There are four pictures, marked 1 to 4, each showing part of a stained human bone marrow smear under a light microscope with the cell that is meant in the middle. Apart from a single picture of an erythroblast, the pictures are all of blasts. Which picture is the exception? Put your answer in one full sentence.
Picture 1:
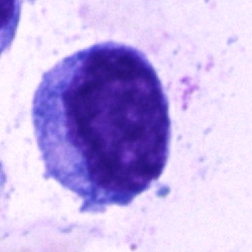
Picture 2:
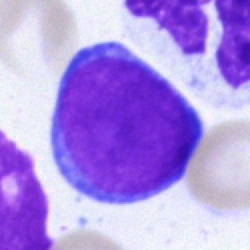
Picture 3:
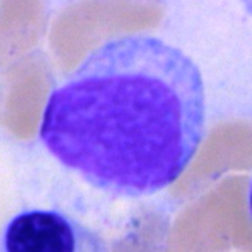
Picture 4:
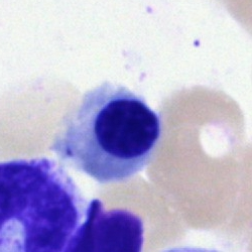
Picture 4 is the one that shows the erythroblast.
